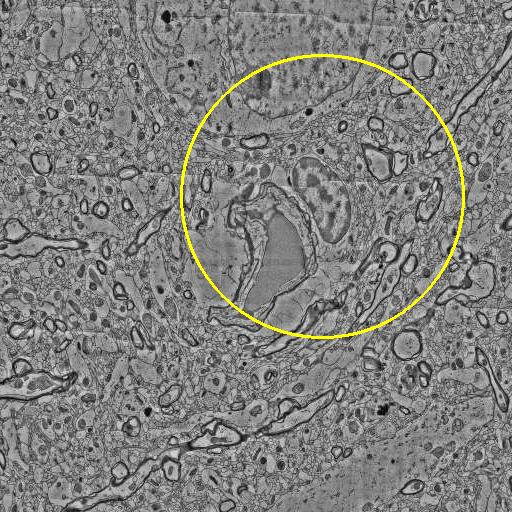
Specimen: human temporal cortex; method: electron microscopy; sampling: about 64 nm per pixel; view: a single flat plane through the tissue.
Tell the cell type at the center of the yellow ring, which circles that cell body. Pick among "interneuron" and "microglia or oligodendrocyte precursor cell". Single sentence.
The ring is centered on the body of a microglial cell or oligodendrocyte precursor cell.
